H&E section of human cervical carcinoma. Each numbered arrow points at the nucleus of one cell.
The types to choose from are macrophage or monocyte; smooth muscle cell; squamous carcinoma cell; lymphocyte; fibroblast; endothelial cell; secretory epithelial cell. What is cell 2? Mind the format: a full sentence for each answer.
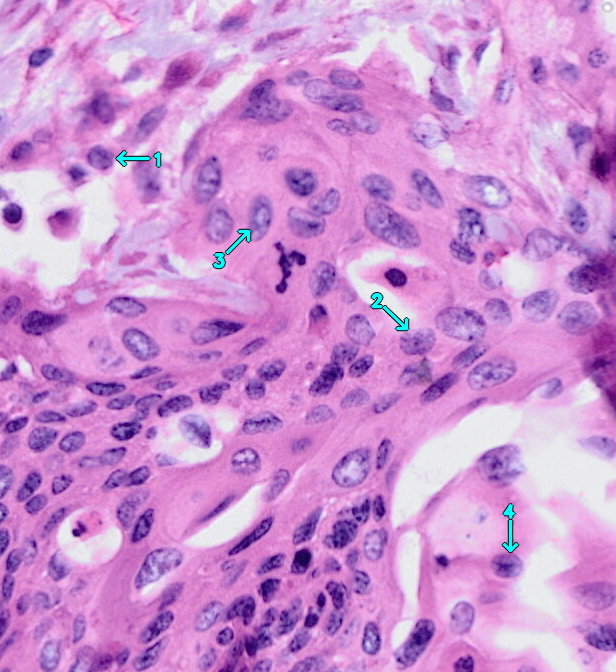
Among the marked nuclei, number 2 belongs to a squamous carcinoma cell.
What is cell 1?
In the tissue shown, cell 1 is a macrophage or monocyte.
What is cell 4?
The cell that goes by number 4 is a squamous carcinoma cell.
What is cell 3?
The one labeled 3 is a squamous carcinoma cell, to put it simply.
